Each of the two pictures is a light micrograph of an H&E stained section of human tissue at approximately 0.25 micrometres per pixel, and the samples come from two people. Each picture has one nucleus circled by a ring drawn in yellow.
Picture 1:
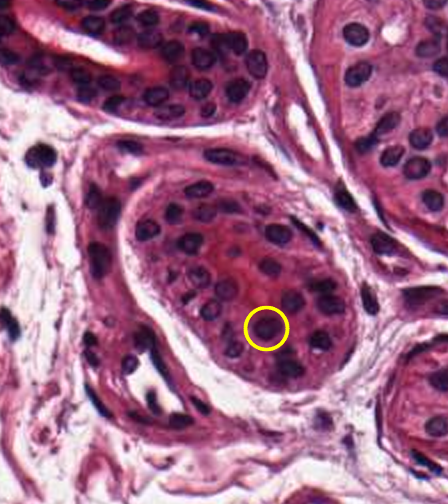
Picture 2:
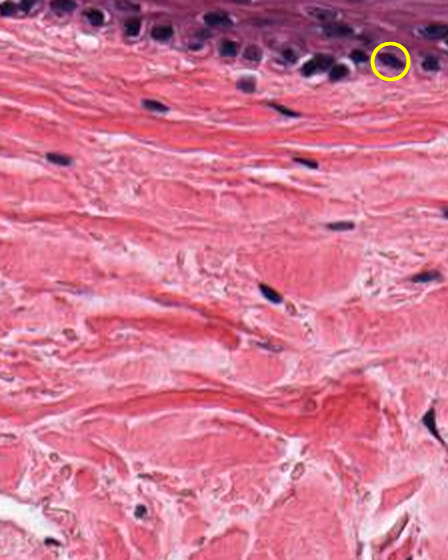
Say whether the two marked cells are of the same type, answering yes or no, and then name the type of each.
No, the first is a sweat gland cell and the second a keratinocyte.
